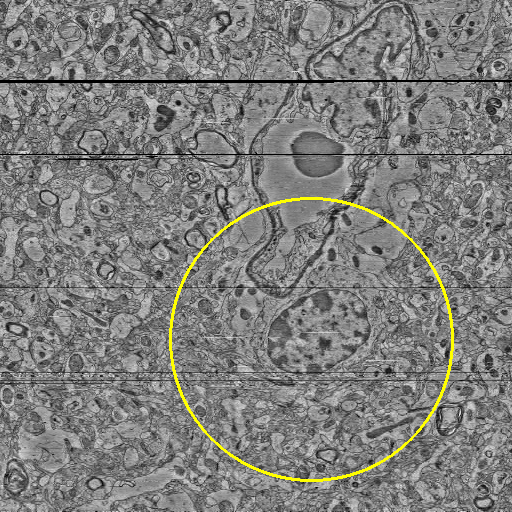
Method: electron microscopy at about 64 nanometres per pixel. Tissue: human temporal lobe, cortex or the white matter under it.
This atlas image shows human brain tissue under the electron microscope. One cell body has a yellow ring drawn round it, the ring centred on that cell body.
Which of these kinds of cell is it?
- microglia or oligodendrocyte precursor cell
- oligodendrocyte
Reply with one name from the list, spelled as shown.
microglia or oligodendrocyte precursor cell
